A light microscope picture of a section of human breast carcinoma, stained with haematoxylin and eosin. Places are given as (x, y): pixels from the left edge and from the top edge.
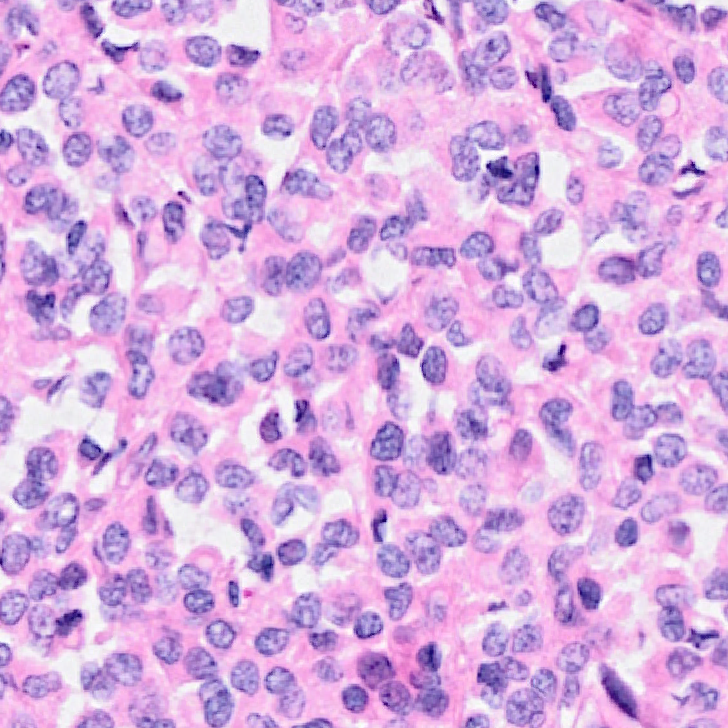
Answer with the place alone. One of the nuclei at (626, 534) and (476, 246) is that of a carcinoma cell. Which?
(476, 246)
